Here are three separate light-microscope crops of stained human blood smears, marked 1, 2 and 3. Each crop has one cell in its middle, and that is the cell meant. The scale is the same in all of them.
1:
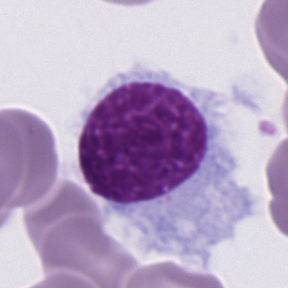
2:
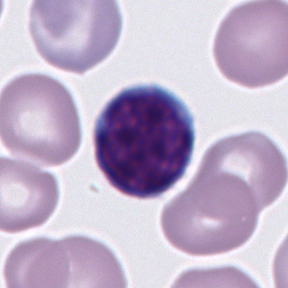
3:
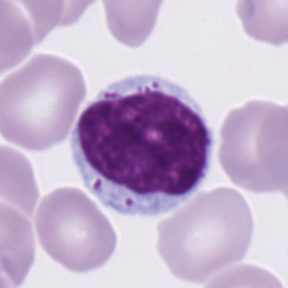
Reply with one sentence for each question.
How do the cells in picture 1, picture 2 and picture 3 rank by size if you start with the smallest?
The order is 2, 3, 1, beginning with the smallest.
